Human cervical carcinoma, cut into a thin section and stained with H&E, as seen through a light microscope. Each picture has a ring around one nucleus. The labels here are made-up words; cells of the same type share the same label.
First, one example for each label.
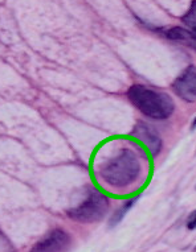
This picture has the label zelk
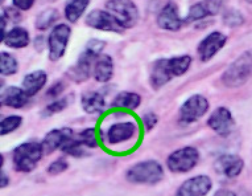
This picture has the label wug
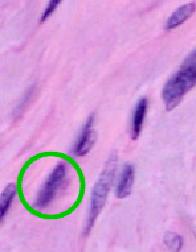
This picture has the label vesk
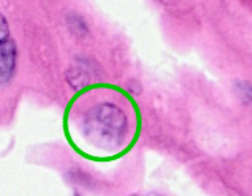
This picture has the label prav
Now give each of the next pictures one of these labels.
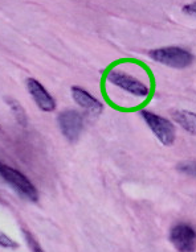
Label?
vesk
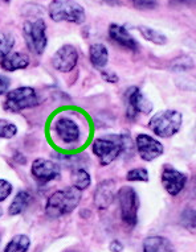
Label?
wug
